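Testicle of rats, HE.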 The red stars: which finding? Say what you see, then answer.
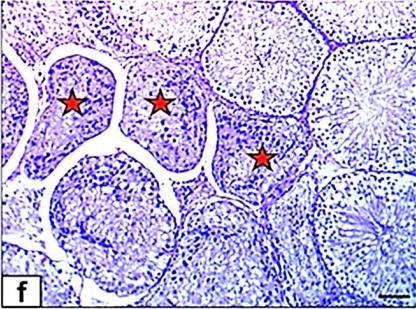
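They lack the orderly layered epithelium seen in neighbouring tubules. They are shrunken away from the surrounding tissue. That points to this answer: necrotic seminiferous tubules.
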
